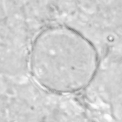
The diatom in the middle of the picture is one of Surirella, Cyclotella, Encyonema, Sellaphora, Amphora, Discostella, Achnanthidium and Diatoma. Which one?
Discostella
